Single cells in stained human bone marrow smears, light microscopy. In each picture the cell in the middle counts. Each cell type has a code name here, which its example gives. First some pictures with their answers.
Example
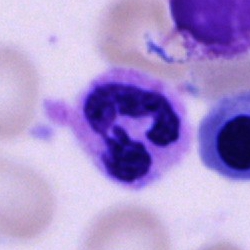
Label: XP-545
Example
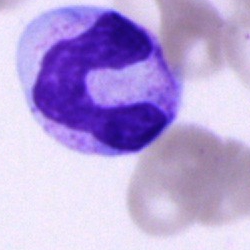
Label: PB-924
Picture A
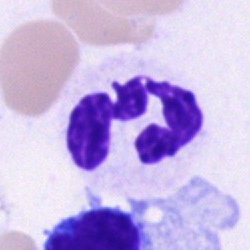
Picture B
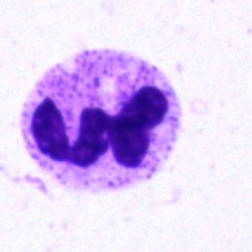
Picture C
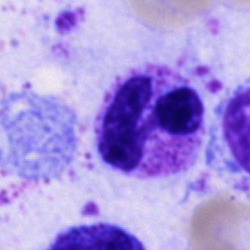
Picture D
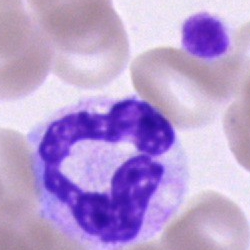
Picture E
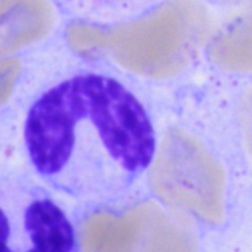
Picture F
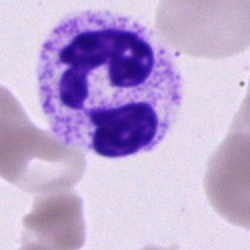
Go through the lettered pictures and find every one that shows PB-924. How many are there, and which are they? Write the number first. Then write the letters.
1: E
